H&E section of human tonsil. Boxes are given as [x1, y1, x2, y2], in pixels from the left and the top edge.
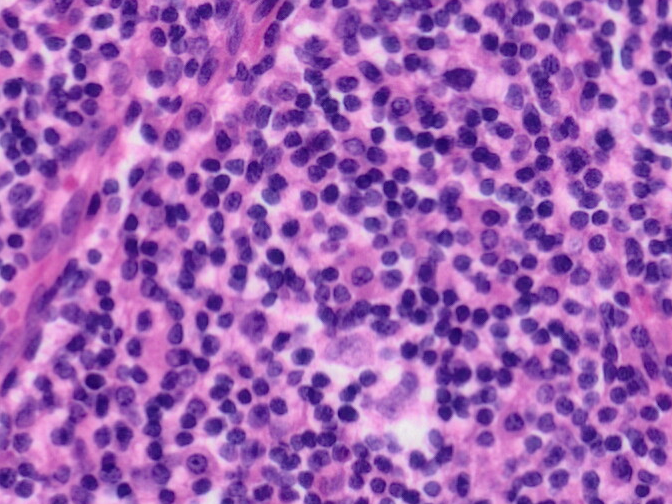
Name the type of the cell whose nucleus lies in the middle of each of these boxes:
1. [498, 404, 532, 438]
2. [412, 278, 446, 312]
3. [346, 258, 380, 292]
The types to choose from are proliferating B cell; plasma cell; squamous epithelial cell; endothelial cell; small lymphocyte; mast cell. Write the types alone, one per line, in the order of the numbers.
plasma cell
small lymphocyte
plasma cell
